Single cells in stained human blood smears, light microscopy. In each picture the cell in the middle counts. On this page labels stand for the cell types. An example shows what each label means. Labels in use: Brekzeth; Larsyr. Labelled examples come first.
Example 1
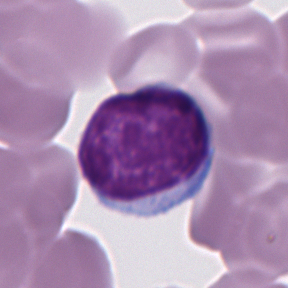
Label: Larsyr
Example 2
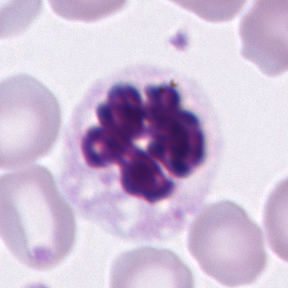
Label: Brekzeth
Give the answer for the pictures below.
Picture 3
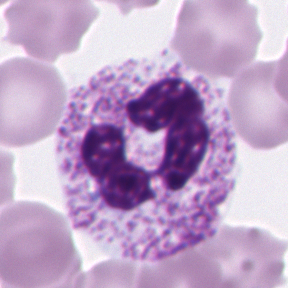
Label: Brekzeth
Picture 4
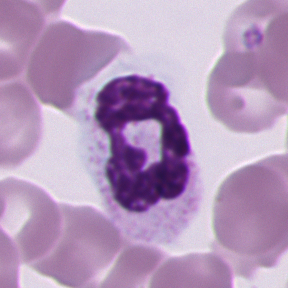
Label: Brekzeth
